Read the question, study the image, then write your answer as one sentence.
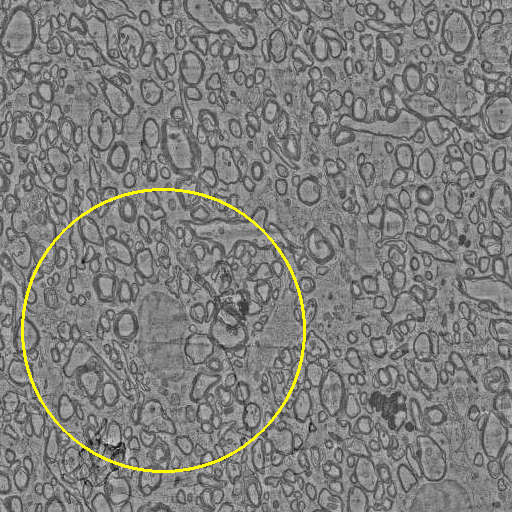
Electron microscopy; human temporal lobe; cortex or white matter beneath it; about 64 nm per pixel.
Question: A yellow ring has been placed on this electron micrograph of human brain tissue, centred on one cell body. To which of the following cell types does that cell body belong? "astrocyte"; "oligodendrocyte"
That cell body belongs to an oligodendrocyte.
